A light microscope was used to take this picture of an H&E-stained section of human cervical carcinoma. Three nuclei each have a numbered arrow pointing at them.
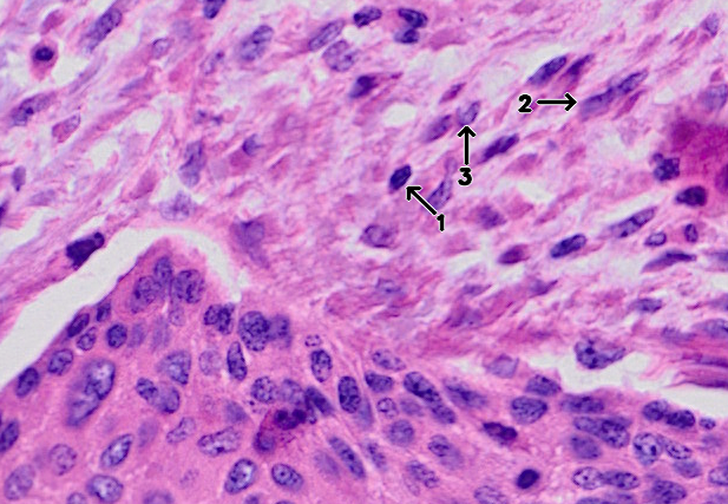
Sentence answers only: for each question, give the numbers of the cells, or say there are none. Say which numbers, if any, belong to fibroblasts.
The cells numbered 2 and 3 are typed as fibroblasts.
